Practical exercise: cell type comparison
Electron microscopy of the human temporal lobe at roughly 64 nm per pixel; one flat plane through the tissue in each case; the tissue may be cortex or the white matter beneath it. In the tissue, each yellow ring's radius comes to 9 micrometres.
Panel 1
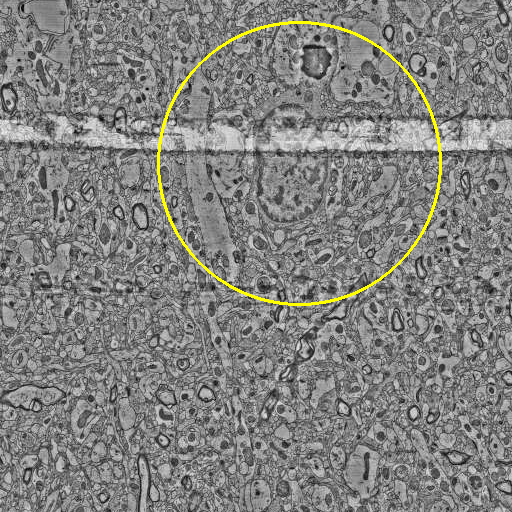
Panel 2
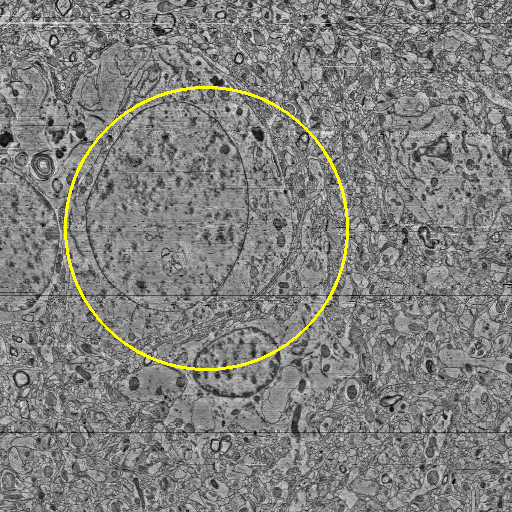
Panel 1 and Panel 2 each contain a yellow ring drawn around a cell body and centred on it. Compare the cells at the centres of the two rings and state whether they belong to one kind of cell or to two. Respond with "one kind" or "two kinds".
two kinds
